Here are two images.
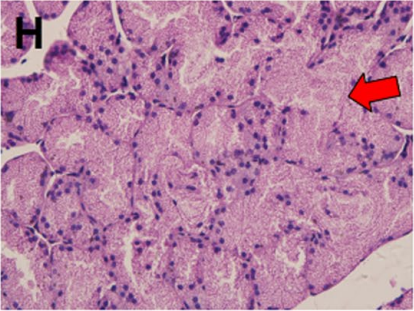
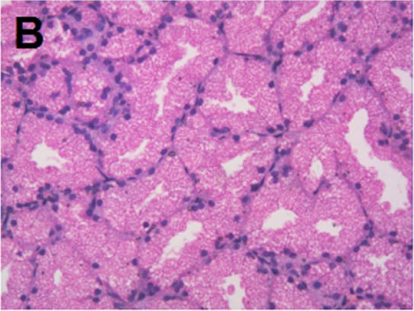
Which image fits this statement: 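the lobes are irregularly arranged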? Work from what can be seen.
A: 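The first image. First image: acini are crowded and indistinct, with pale streaky cytoplasm and irregular clefts.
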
